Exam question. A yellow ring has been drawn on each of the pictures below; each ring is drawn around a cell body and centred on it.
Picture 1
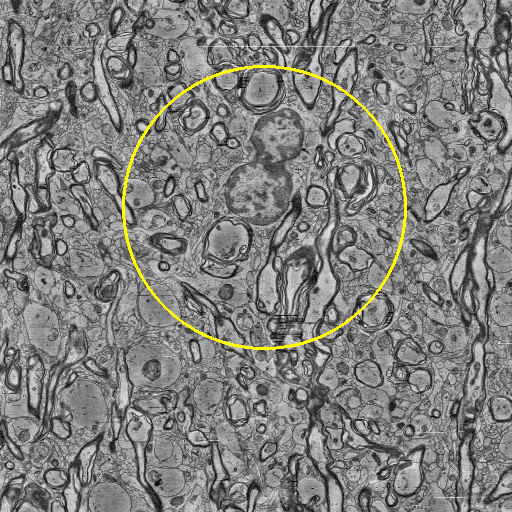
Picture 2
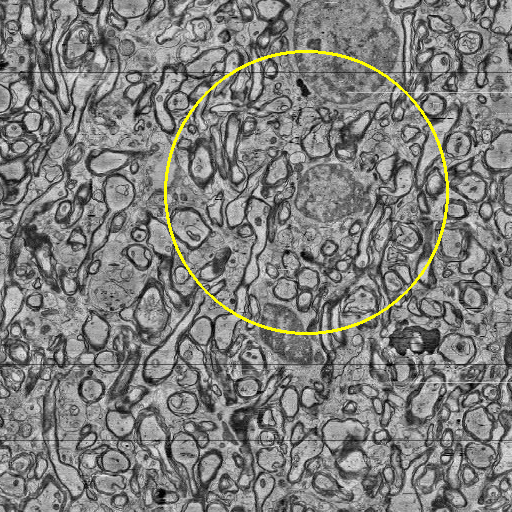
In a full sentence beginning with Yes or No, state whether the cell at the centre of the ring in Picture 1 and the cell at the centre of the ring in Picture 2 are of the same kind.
No, the cells are of two kinds.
